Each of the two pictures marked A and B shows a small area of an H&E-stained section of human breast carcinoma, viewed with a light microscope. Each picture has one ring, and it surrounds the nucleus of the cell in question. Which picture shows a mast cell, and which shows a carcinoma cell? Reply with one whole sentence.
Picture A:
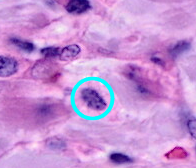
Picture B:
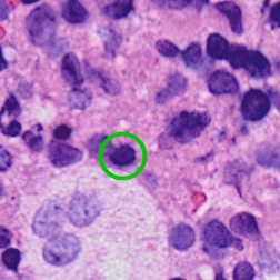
In picture A the cell is a mast cell; in picture B, a carcinoma cell.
